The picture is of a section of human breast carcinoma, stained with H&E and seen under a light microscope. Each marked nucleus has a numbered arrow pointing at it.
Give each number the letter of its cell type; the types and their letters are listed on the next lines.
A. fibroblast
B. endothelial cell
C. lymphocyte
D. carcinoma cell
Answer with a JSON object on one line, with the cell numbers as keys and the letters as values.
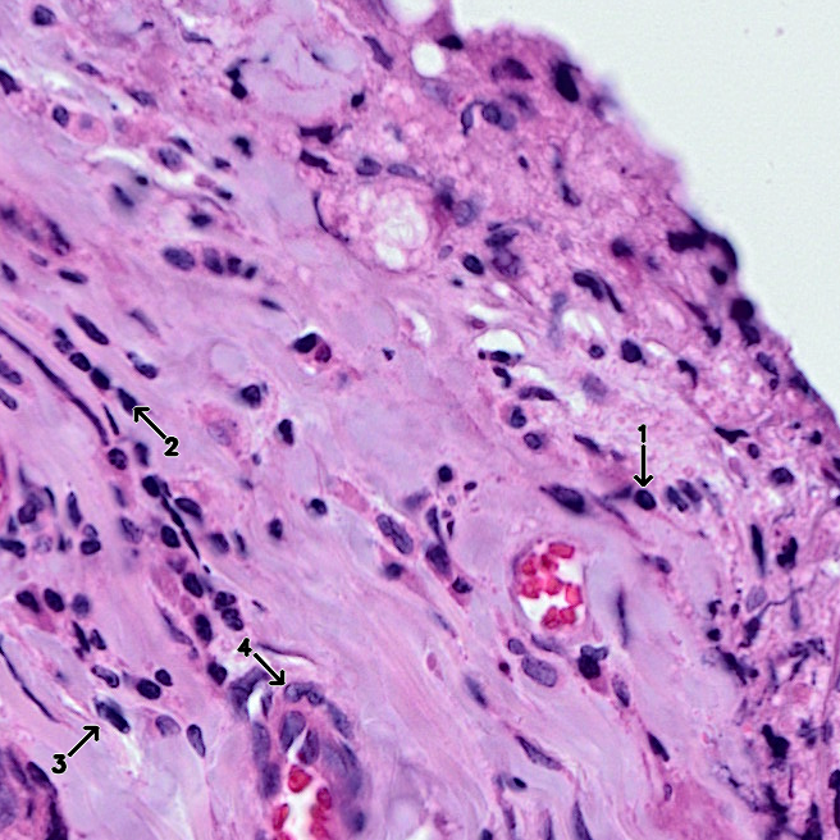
{"1": "C", "2": "C", "3": "C", "4": "B"}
